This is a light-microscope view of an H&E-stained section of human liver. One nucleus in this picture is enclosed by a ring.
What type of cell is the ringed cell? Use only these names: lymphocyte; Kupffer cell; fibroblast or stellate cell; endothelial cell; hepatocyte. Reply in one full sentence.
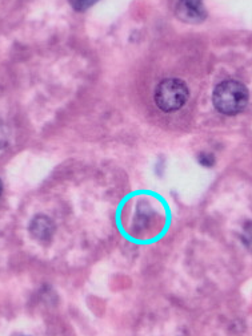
The ringed cell is an endothelial cell.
